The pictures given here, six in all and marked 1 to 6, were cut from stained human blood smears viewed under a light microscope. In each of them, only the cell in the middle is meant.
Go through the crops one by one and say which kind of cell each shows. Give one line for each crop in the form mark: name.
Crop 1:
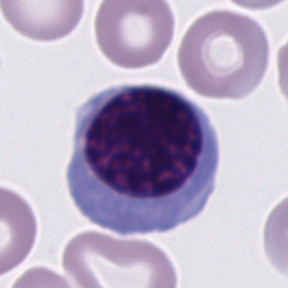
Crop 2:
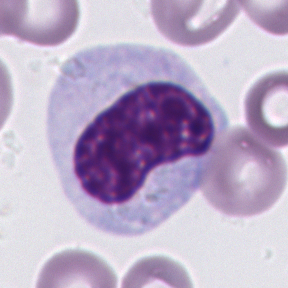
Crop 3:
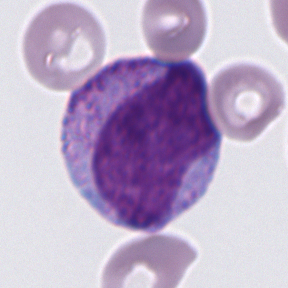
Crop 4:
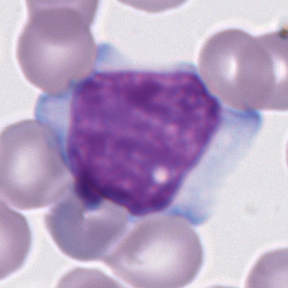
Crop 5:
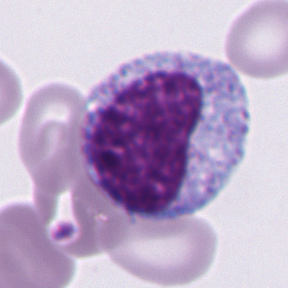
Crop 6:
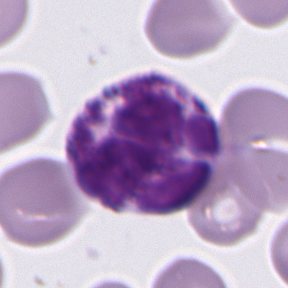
1: normoblast
2: band neutrophil
3: atypical promyelocyte
4: myeloblast
5: myelocyte
6: basophil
